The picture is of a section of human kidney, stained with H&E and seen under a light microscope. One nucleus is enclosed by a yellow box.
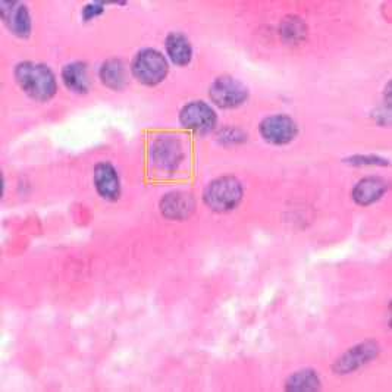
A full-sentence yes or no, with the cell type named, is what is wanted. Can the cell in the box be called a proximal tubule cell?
No, the cell in the box counts as a collecting duct cell, not a proximal tubule cell.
